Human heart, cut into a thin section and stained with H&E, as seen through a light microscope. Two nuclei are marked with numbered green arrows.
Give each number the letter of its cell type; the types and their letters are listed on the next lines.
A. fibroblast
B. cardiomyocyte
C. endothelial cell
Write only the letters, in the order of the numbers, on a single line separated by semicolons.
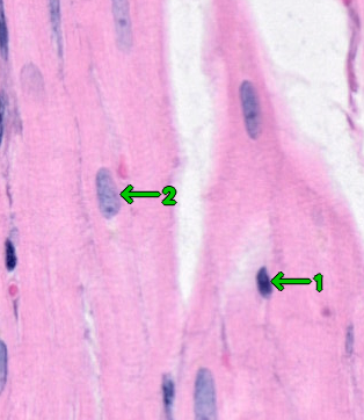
C; B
